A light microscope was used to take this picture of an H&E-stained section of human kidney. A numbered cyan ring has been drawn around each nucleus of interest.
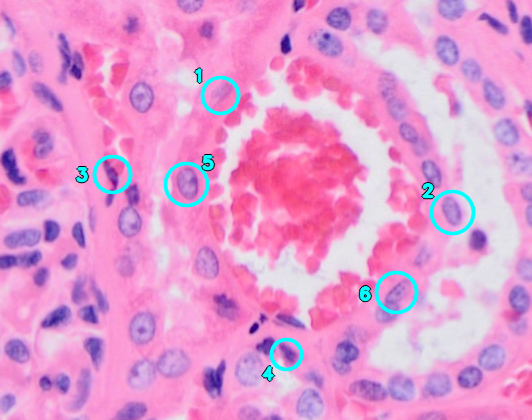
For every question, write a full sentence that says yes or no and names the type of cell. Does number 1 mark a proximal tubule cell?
Yes, the numbered cell 1 is identified as a proximal tubule cell.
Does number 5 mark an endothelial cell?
No, at number 5 sits a proximal tubule cell, not an endothelial cell.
